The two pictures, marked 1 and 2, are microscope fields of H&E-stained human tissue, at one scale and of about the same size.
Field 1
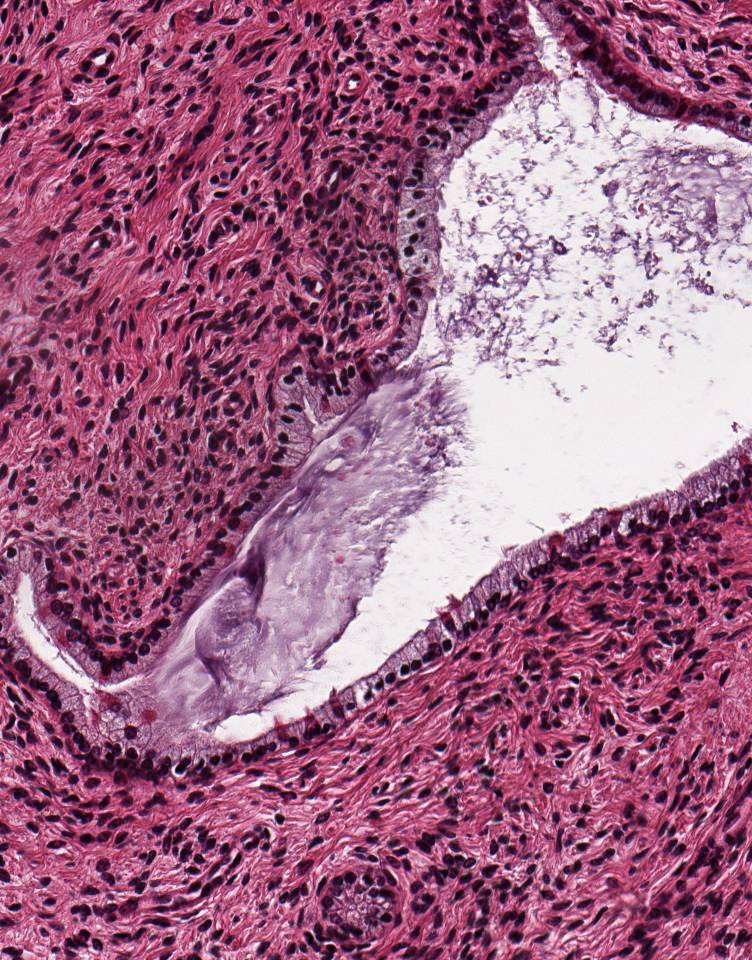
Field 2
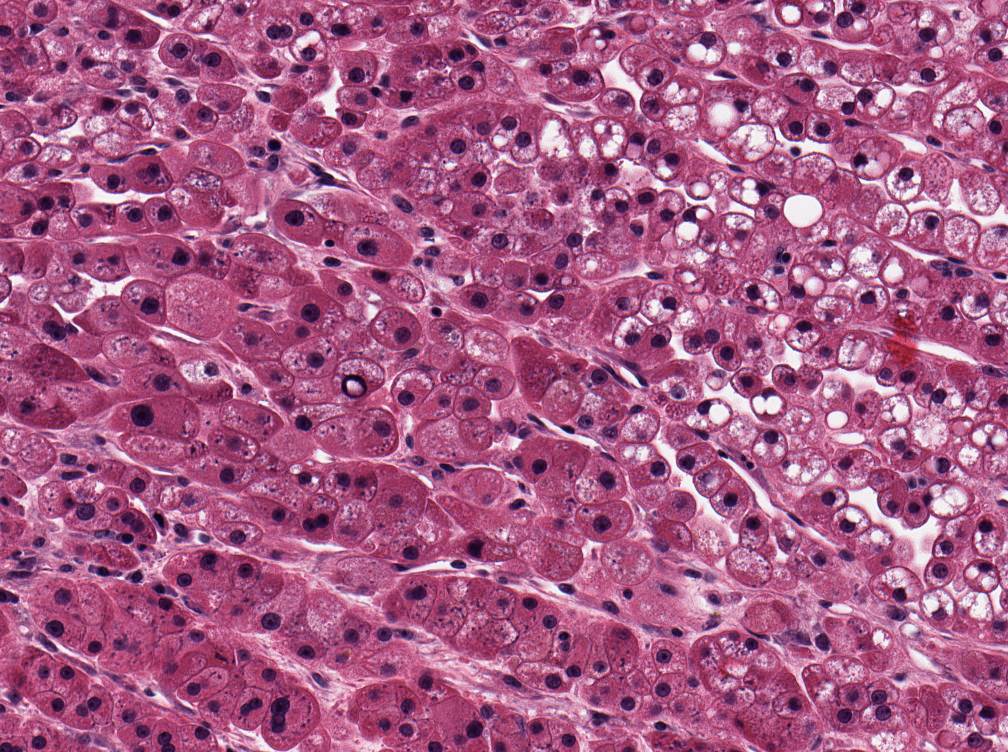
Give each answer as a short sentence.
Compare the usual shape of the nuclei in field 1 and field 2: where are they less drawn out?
It is field 2 whose nuclei are the rounder.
